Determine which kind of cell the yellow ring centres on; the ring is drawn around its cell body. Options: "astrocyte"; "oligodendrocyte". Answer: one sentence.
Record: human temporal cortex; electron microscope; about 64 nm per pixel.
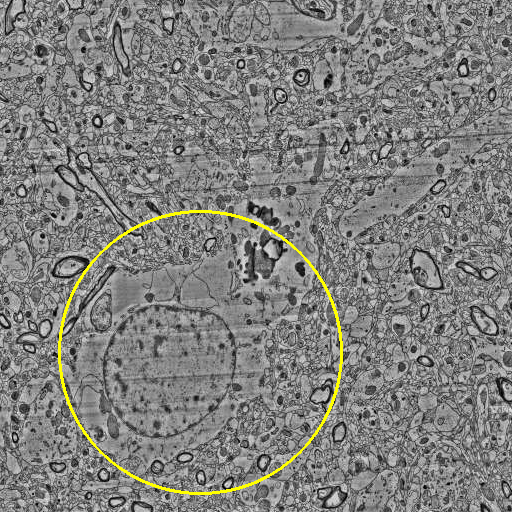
The ring centres on an astrocyte.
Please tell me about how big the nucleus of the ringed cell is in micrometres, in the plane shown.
Roughly 9 micrometres across for the nucleus, in this plane.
